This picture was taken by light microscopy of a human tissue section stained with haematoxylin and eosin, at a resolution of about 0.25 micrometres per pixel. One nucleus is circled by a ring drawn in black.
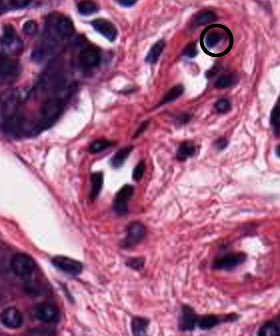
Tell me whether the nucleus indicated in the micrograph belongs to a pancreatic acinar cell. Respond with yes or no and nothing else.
no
